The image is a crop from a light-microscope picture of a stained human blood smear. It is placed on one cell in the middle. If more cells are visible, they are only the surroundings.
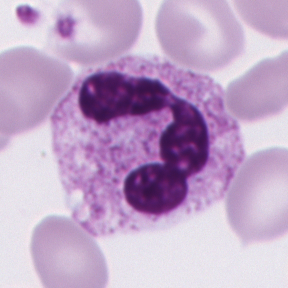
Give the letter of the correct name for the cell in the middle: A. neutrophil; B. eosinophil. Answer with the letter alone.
A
